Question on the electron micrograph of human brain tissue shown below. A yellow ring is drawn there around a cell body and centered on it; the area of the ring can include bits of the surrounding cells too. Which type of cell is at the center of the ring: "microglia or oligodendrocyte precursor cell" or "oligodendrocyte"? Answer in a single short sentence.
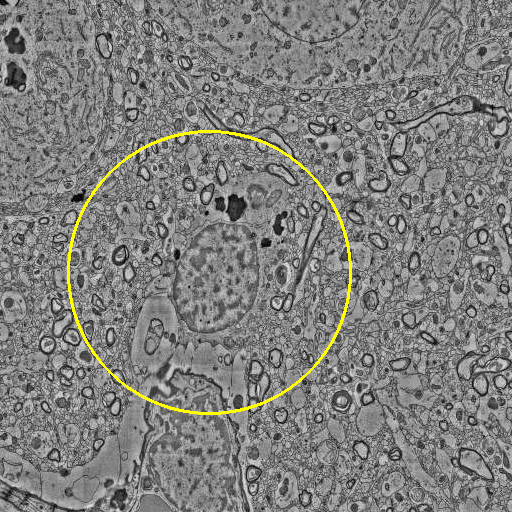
The ring is centered on an oligodendrocyte.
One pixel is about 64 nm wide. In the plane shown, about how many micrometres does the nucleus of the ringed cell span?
About 7 by 6 micrometers, in this plane.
